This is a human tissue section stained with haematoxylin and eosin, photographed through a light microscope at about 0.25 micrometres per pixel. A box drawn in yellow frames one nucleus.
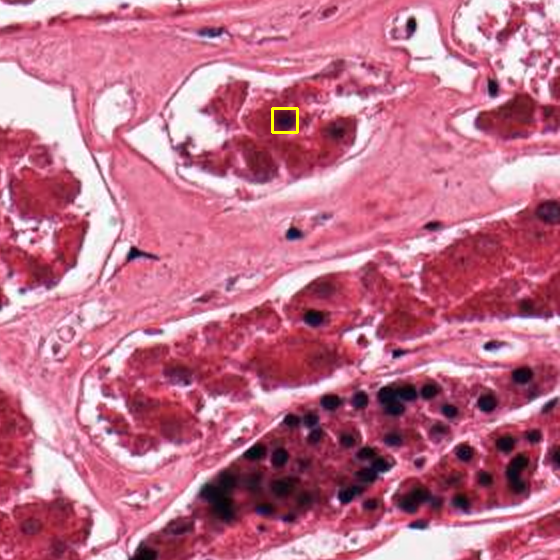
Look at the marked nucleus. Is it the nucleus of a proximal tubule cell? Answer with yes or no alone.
yes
